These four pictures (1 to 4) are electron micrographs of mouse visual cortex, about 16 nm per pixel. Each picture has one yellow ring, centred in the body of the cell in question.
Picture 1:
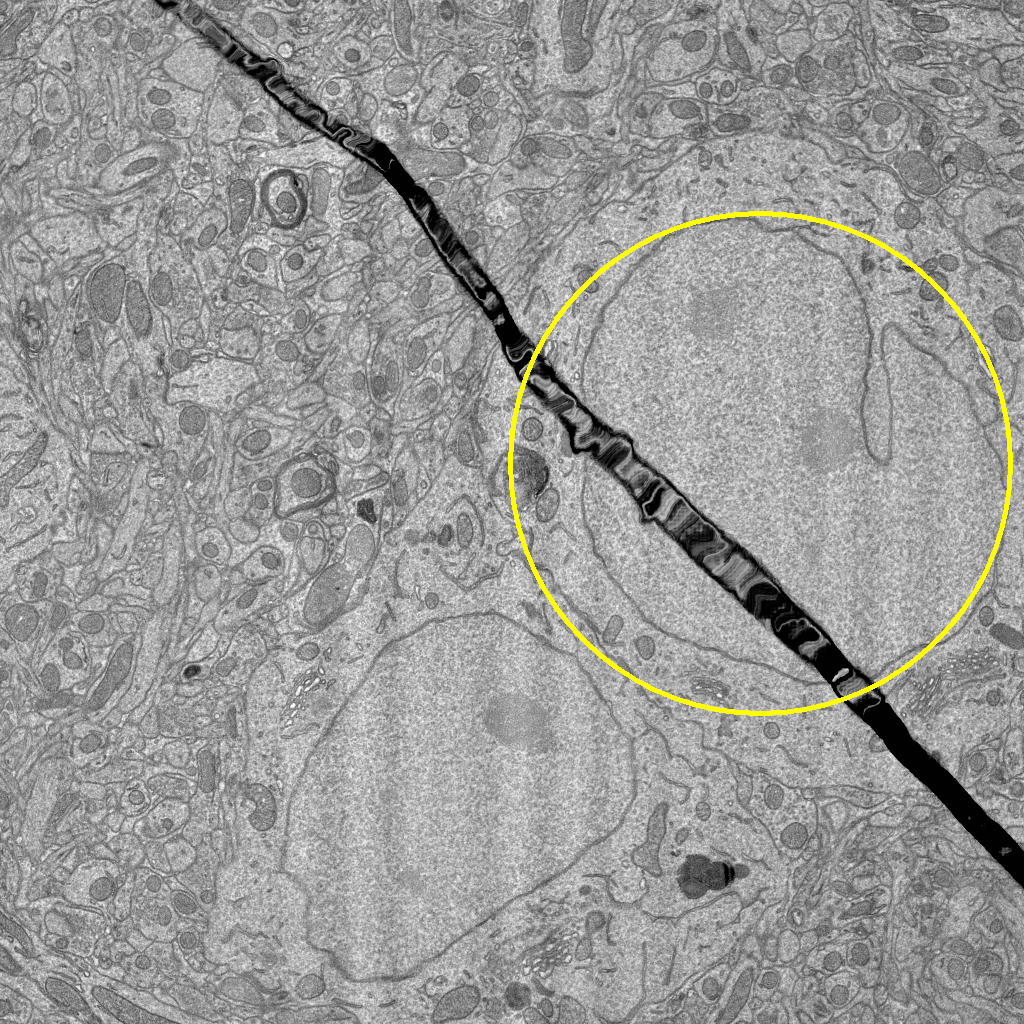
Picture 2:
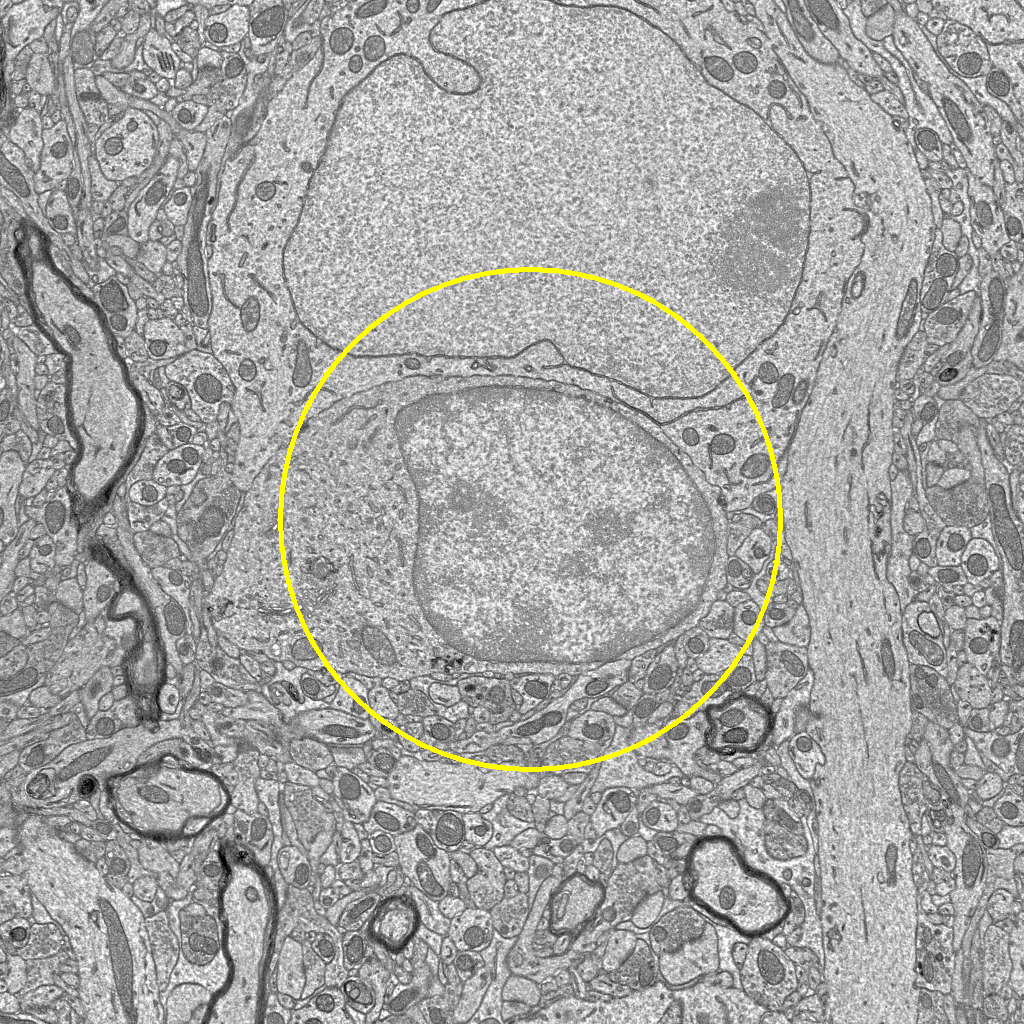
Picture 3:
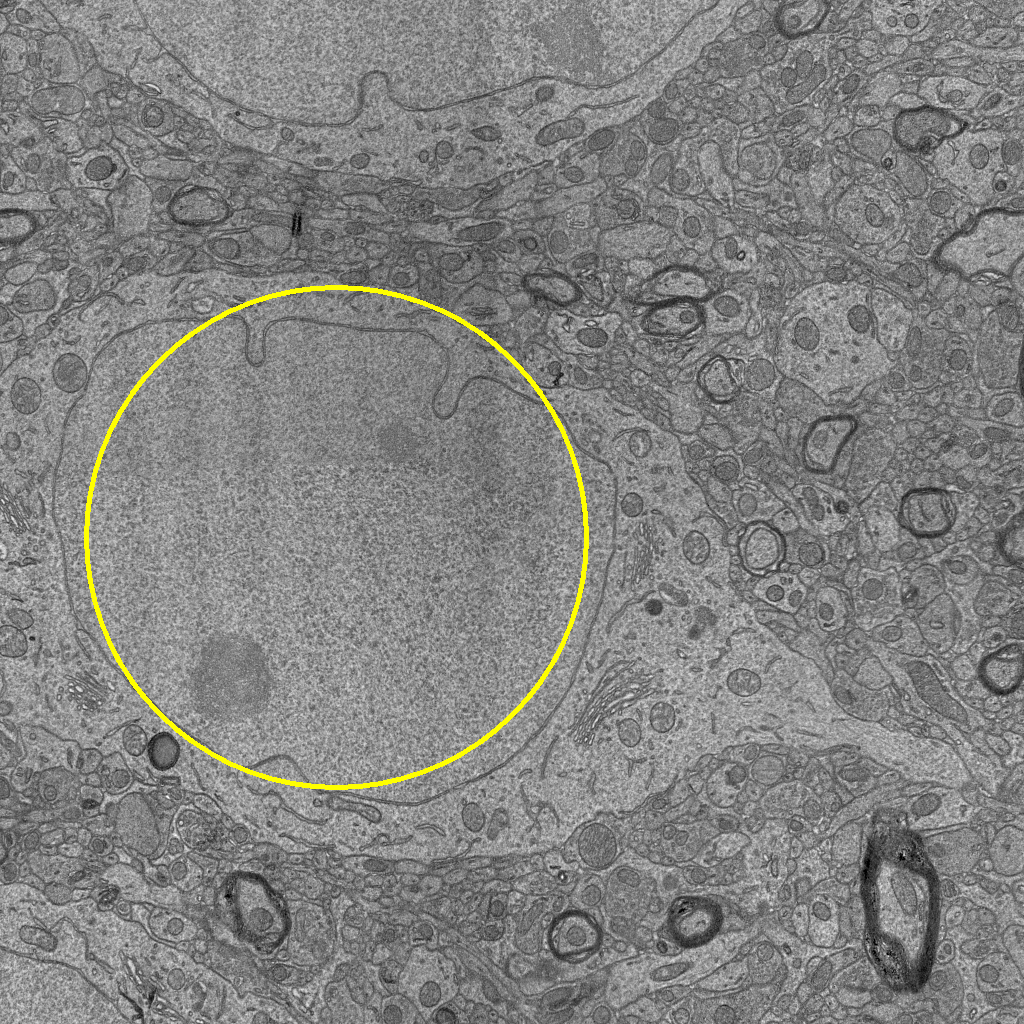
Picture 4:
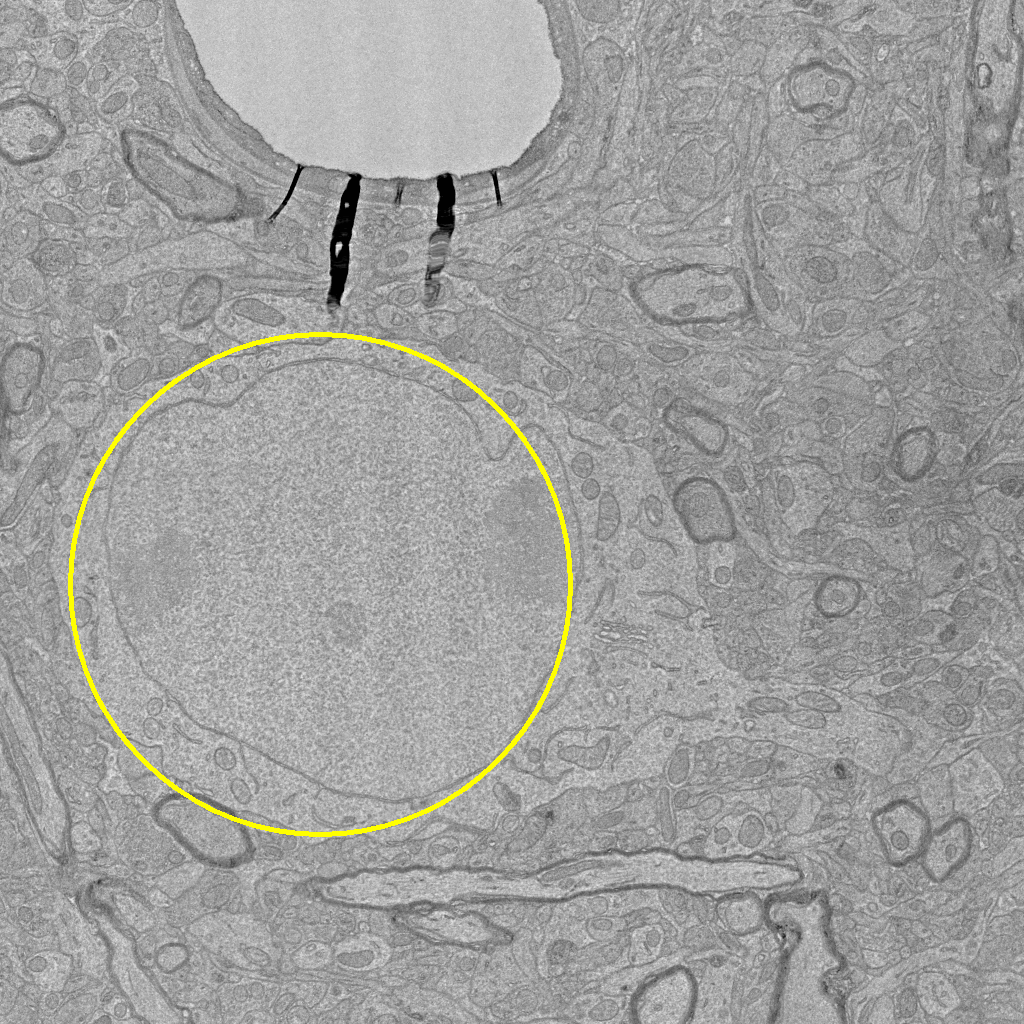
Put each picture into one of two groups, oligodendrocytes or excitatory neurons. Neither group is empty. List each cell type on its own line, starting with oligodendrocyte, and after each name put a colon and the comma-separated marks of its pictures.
oligodendrocyte: 2
excitatory neuron: 1, 3, 4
